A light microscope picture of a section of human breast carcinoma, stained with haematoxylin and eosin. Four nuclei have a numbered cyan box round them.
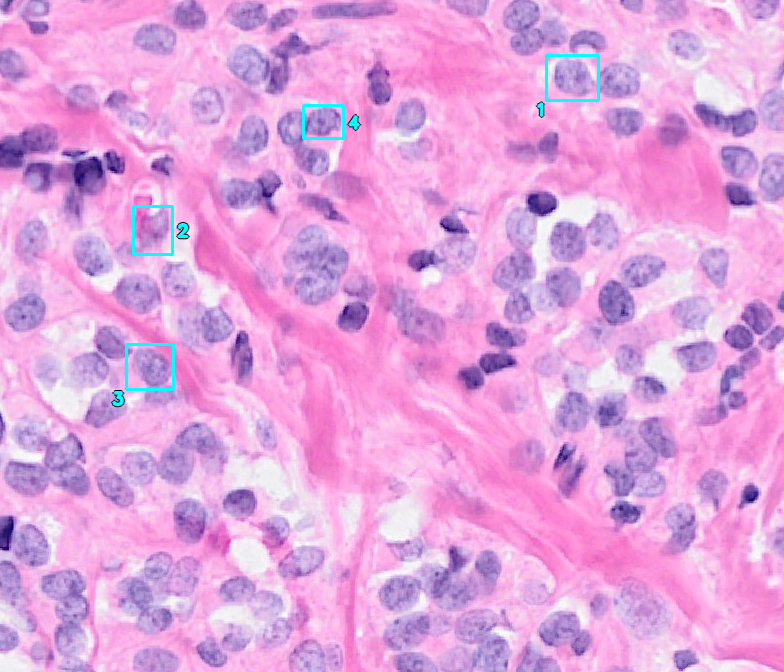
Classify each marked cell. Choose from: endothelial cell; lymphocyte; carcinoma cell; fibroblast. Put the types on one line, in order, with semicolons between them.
carcinoma cell; endothelial cell; carcinoma cell; carcinoma cell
